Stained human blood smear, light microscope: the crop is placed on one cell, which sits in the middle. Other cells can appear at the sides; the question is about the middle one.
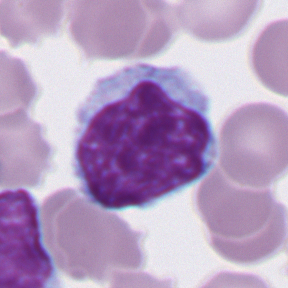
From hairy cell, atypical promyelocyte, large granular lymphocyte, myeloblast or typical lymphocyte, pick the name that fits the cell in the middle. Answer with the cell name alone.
typical lymphocyte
